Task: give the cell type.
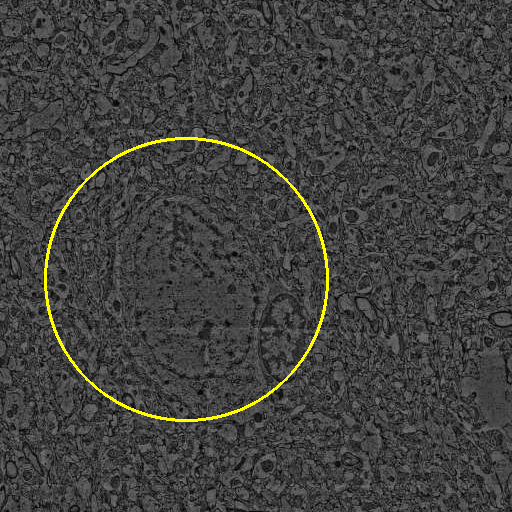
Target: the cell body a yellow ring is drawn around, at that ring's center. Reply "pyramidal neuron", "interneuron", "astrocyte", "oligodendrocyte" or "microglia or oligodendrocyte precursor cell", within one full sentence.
In this picture, the cell whose body lies at the ring's center is an interneuron.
